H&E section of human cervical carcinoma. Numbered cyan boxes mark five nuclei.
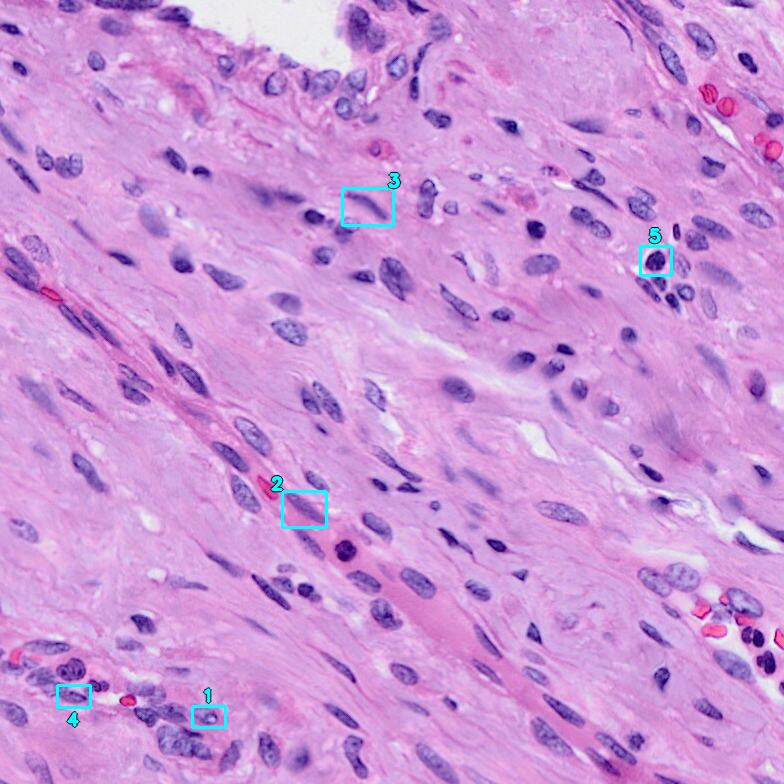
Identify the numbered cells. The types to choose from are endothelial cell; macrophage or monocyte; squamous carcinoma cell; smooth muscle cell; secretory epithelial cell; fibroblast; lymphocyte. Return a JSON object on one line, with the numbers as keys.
{"1": "smooth muscle cell", "2": "endothelial cell", "3": "fibroblast", "4": "endothelial cell", "5": "lymphocyte"}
